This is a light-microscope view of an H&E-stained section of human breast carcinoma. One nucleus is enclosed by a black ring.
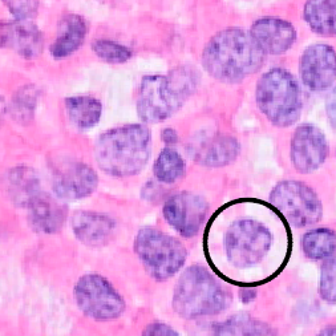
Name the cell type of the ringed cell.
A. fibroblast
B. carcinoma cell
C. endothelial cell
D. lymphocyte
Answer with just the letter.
B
